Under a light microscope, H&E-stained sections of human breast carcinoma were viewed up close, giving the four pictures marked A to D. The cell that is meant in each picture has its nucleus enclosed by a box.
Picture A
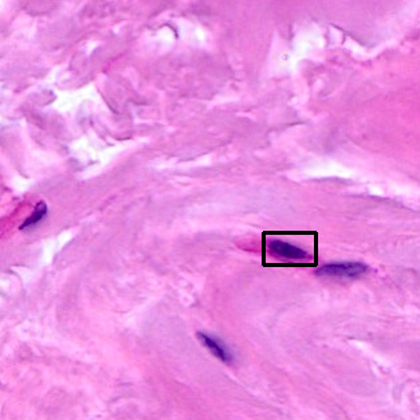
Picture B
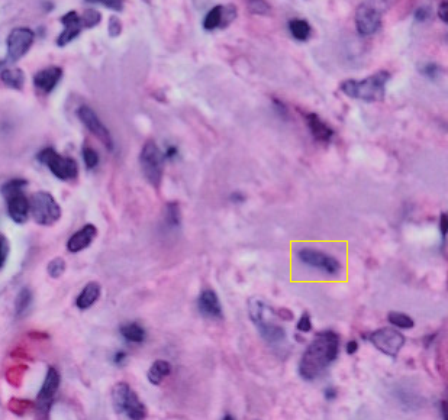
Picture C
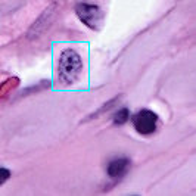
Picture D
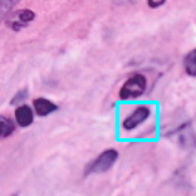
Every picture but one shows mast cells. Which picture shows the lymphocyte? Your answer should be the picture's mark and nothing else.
D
